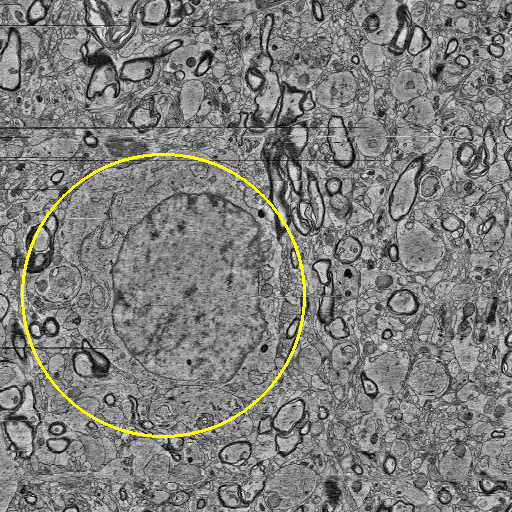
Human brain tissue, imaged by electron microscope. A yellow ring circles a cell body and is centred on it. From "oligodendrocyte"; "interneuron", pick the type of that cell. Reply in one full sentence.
The cell body at the centre of the yellow ring belongs to an interneuron.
